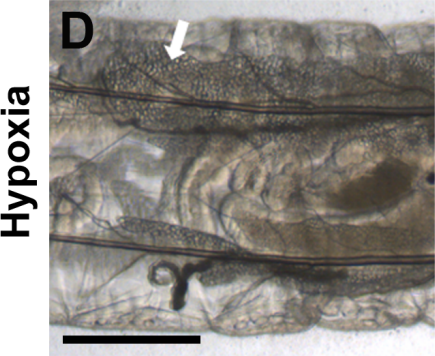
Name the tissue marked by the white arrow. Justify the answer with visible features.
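Larval fat body. The arrow points to a sheet of tissue made of many small rounded, droplet-filled units. The sheet lies along the body wall beside a dark longitudinal tube.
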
